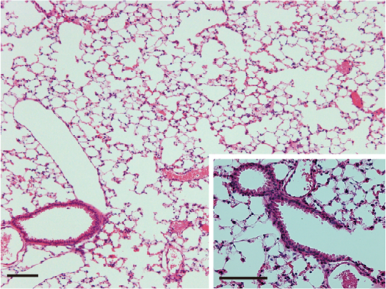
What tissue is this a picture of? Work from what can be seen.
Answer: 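A lacy network of thin-walled air spaces fills most of the field. Tubular airways lined by a single layer of epithelium lie within the air spaces. Thin-walled vessels lie beside the airways. On this evidence: lung.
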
